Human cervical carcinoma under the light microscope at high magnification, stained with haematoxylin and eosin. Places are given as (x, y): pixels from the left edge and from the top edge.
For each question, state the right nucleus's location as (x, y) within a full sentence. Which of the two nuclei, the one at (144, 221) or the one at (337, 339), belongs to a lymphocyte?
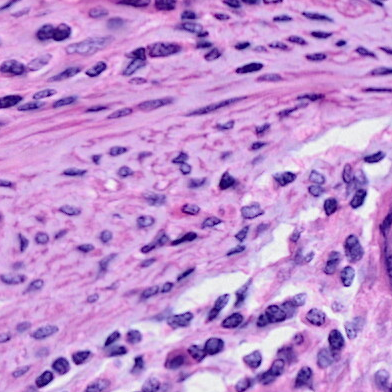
Of the two nuclei present, the one at (337, 339) is within a lymphocyte.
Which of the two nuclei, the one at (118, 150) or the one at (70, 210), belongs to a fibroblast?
The nucleus situated at (118, 150) is the one belonging to a fibroblast.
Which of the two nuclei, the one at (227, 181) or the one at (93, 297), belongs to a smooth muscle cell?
Of the two nuclei present, the one at (93, 297) is within a smooth muscle cell.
